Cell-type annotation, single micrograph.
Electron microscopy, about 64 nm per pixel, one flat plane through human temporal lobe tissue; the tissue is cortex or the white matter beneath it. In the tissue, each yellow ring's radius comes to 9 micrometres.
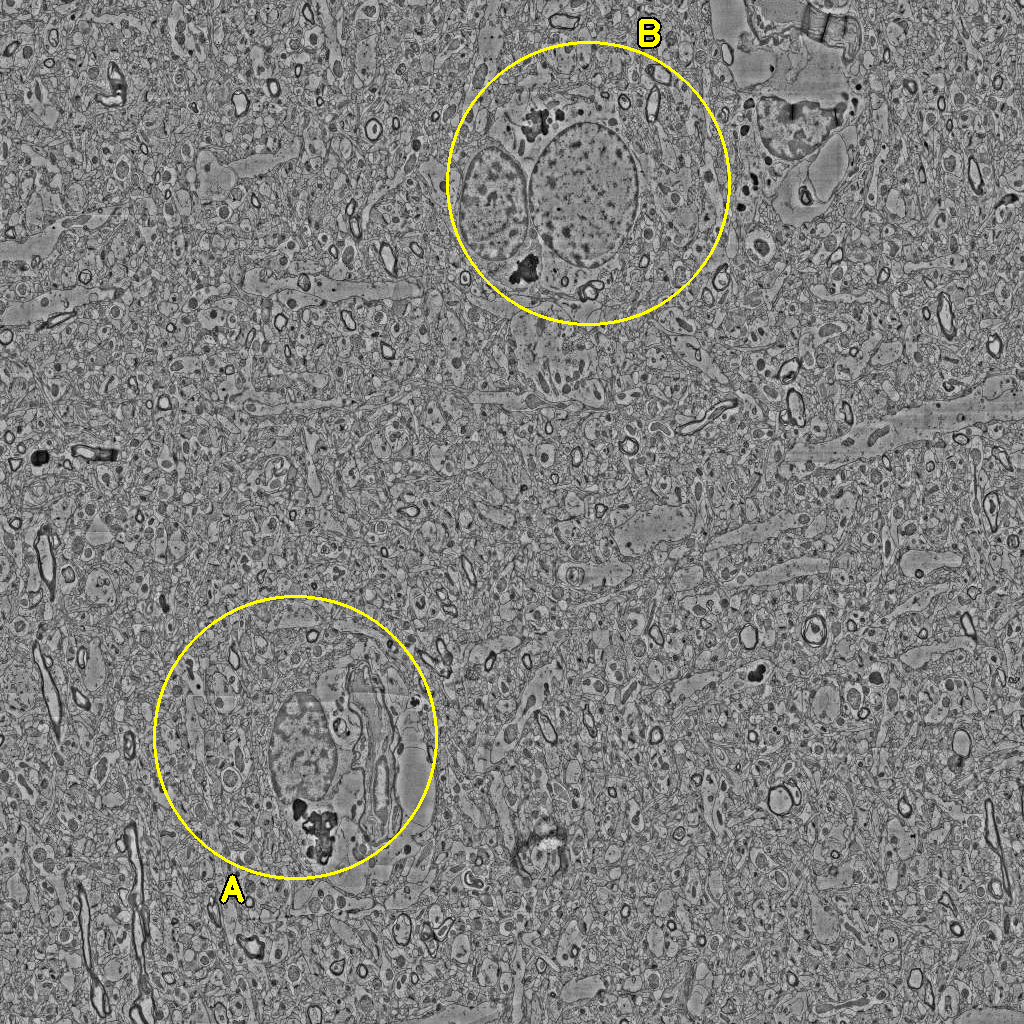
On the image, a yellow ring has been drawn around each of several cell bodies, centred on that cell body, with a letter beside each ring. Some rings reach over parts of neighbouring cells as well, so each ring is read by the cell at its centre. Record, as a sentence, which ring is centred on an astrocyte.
Ring B is centred on it.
